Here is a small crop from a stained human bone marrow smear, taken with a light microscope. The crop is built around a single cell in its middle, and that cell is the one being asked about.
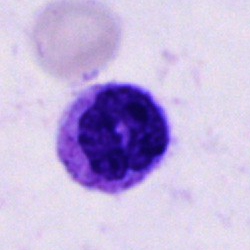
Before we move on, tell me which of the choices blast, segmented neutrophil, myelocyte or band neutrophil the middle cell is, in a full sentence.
The central cell in this smear crop is a band neutrophil.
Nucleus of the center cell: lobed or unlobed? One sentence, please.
The nucleus holds together as a single compact mass, round, oval or kidney-like.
